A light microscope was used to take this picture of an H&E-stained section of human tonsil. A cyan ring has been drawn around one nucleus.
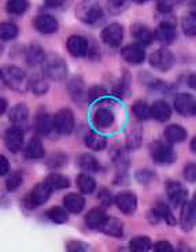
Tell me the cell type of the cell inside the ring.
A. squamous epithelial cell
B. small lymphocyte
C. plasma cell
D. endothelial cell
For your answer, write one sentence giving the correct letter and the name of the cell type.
Option B is the one that fits, as the cell inside the ring is a small lymphocyte.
